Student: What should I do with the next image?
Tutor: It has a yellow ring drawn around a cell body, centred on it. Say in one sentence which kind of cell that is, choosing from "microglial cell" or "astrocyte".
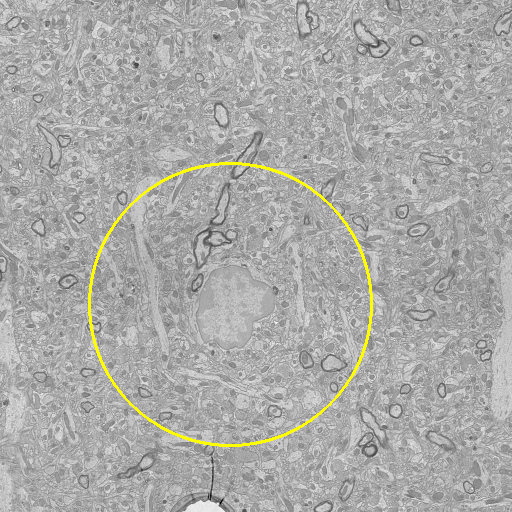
The ring's centre is occupied by a microglial cell.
